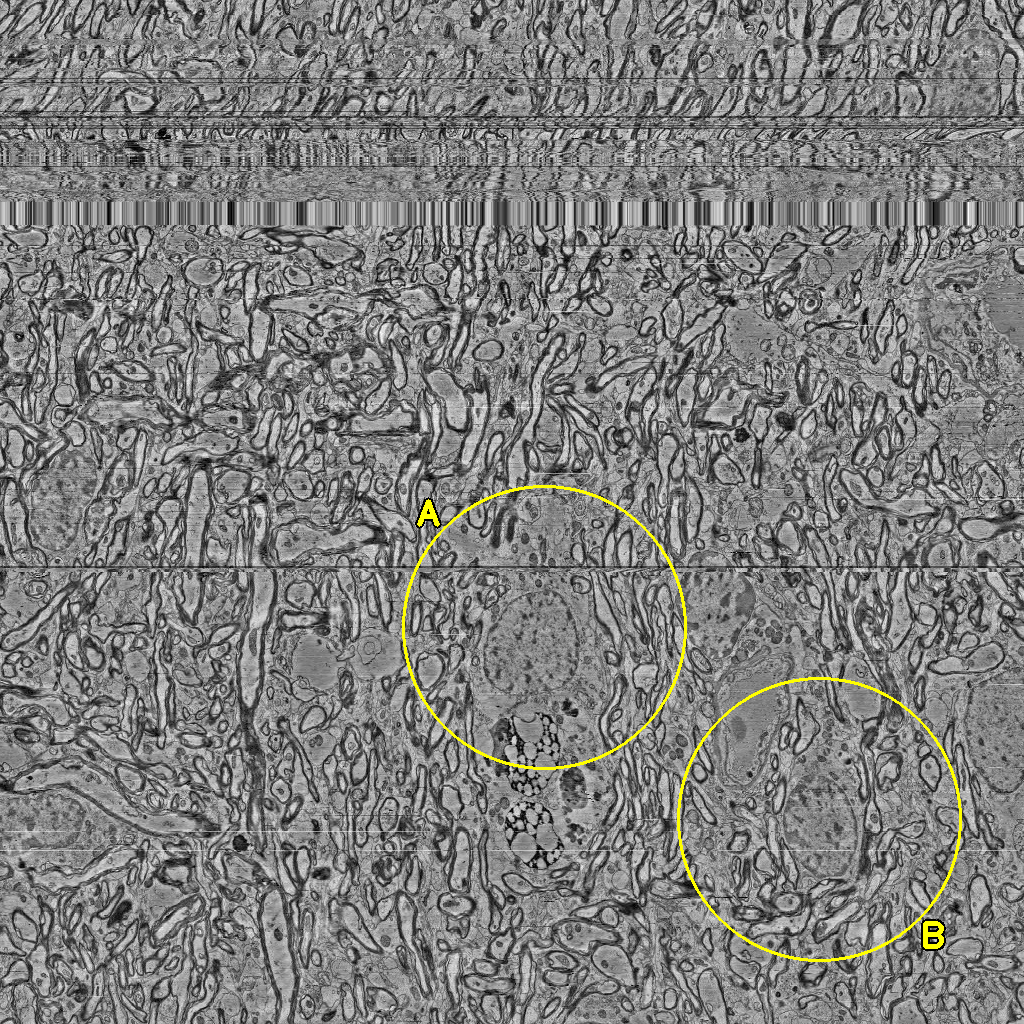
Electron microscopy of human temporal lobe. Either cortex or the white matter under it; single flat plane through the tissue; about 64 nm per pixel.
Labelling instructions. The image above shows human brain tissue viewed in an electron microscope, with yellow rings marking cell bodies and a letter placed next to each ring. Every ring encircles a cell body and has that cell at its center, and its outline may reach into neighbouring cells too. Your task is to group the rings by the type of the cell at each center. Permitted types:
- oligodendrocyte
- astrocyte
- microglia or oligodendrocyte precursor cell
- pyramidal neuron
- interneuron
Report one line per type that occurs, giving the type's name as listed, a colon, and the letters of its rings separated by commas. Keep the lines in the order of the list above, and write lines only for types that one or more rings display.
oligodendrocyte: B
astrocyte: A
